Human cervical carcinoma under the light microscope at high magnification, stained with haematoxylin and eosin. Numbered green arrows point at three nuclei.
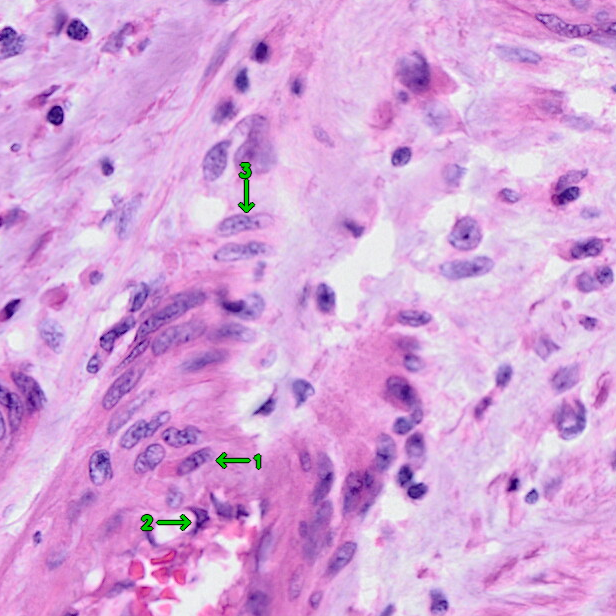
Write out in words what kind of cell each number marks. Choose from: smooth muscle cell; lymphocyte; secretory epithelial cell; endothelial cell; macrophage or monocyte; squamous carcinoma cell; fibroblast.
Cell 1 is a smooth muscle cell, cell 2 is an endothelial cell and cell 3 is a smooth muscle cell.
